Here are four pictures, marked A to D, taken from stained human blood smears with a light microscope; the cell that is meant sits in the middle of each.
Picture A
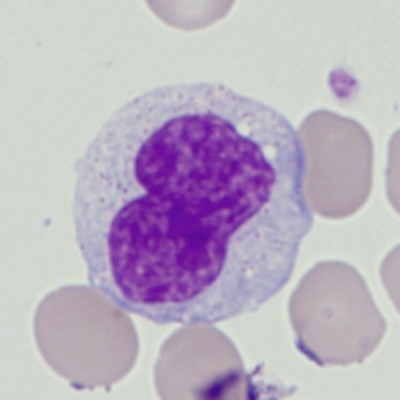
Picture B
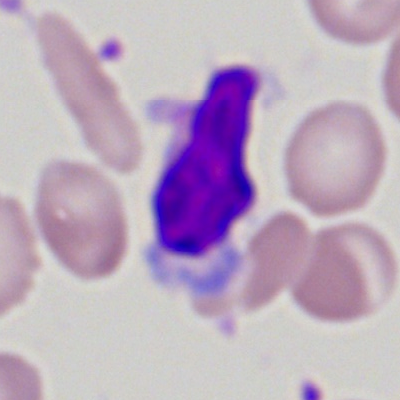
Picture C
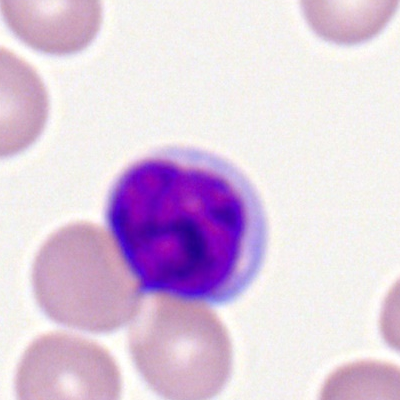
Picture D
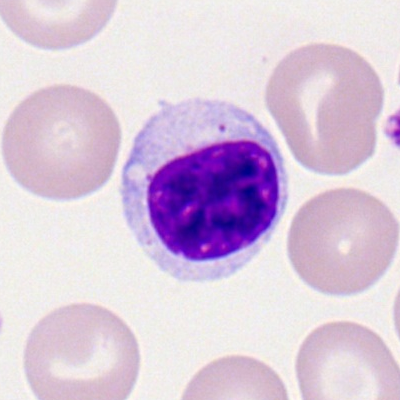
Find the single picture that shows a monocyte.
A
